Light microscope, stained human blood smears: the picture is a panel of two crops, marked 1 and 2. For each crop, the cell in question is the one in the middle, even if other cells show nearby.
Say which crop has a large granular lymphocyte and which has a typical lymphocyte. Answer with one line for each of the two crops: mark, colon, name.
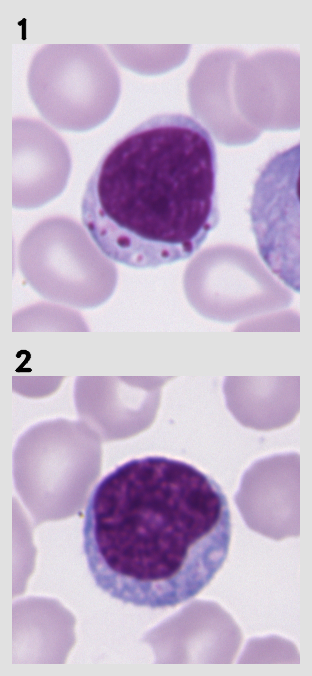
1: large granular lymphocyte
2: typical lymphocyte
